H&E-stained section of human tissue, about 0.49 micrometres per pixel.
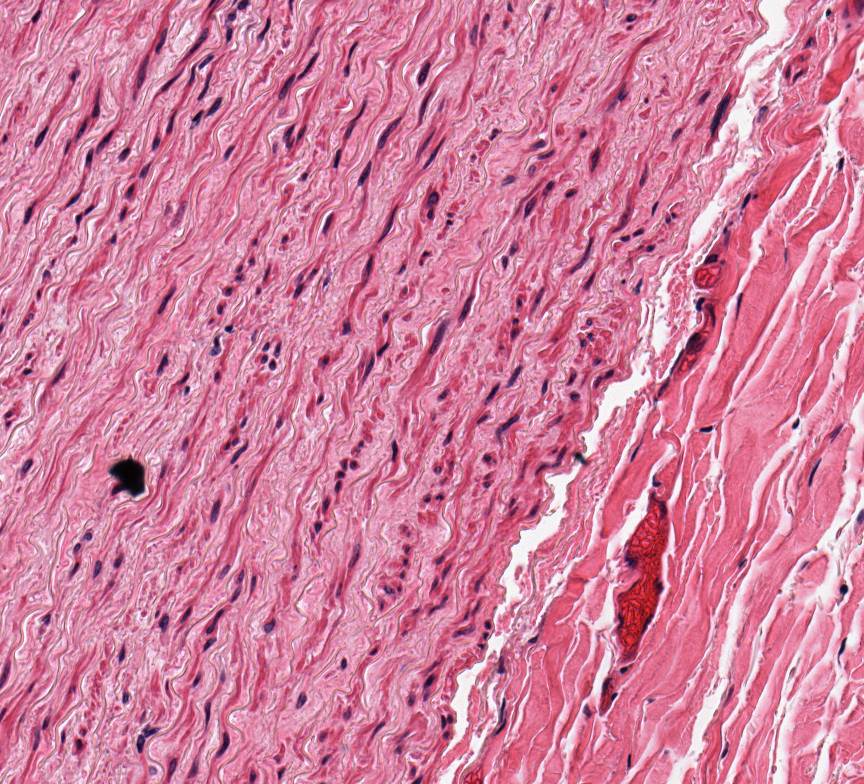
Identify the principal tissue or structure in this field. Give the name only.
tunica media of an artery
